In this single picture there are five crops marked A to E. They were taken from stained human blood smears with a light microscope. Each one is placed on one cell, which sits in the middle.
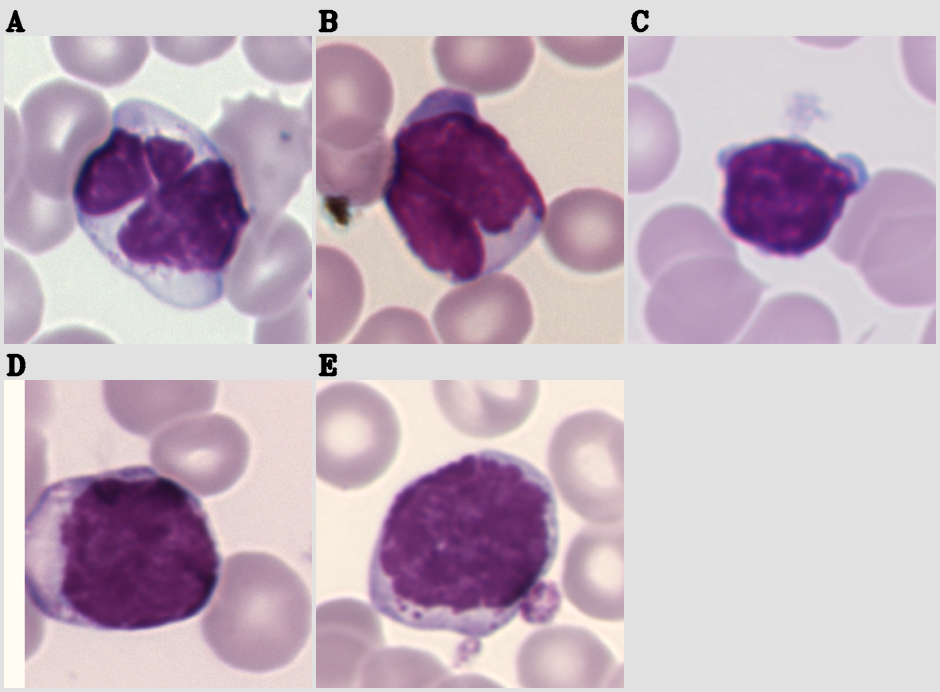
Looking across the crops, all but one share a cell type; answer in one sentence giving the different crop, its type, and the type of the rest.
Crop C is singled out as a typical lymphocyte, and all of the other crops show large granular lymphocytes.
